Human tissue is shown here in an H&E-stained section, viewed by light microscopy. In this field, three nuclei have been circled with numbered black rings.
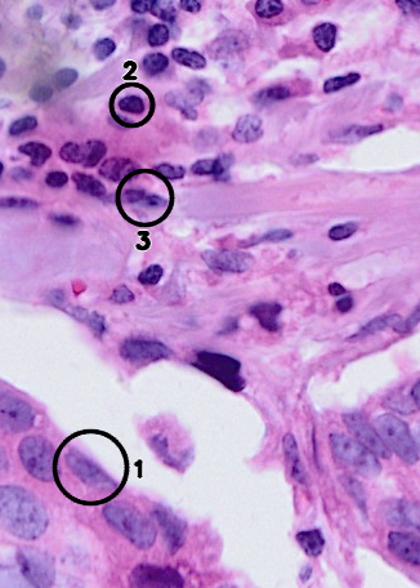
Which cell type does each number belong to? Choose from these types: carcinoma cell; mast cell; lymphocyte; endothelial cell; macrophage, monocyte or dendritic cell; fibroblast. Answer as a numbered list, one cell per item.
1. carcinoma cell
2. lymphocyte
3. lymphocyte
